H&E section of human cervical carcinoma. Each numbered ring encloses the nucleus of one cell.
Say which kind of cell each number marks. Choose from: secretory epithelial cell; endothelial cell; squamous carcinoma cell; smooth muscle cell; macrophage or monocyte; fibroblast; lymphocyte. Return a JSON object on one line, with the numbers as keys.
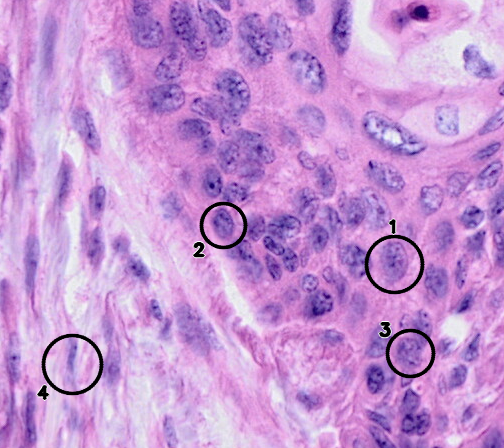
{"1": "squamous carcinoma cell", "2": "squamous carcinoma cell", "3": "squamous carcinoma cell", "4": "fibroblast"}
